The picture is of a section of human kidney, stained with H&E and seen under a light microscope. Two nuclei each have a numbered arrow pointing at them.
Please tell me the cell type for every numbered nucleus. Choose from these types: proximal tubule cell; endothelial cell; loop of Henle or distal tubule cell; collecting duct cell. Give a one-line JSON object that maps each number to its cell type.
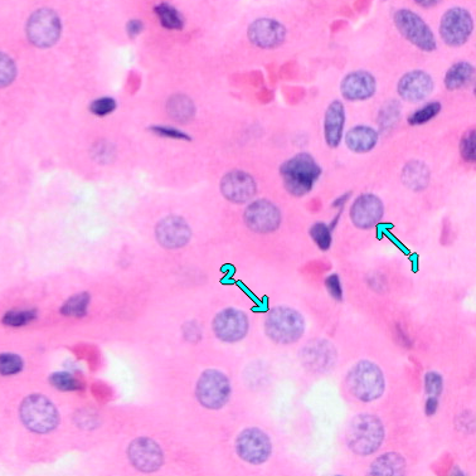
{"1": "proximal tubule cell", "2": "loop of Henle or distal tubule cell"}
